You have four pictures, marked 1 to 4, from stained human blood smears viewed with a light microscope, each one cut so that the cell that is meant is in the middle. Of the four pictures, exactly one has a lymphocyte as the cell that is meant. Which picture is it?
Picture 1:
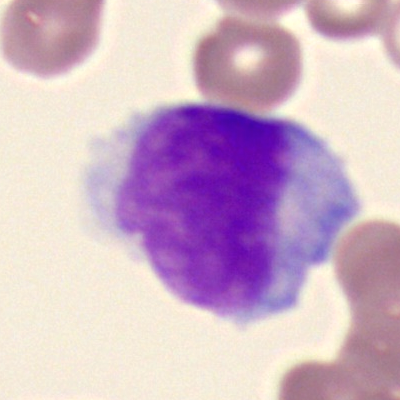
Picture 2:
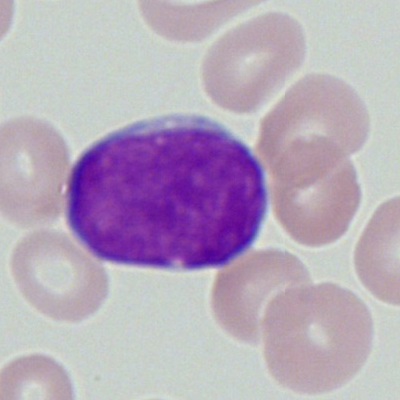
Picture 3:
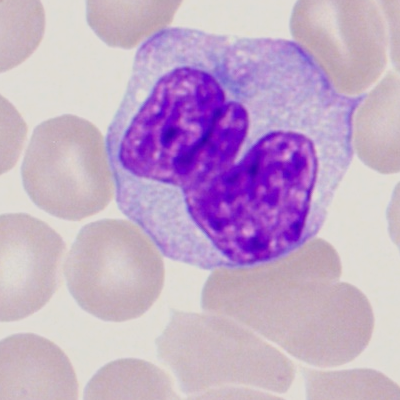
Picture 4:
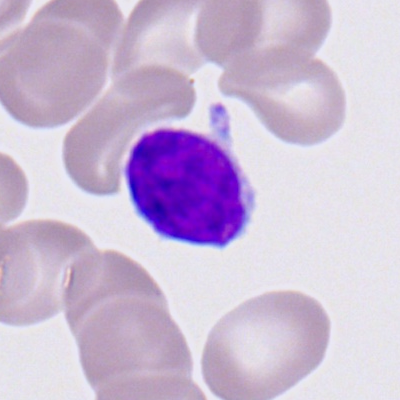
4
